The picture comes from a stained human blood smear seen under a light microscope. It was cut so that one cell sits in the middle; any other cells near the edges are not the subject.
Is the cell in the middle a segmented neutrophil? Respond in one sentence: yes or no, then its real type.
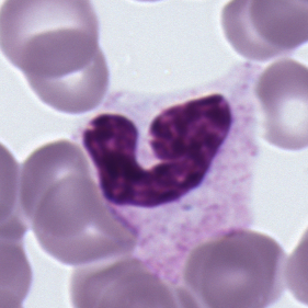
Yes, the cell that the crop is centred on is a segmented neutrophil.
